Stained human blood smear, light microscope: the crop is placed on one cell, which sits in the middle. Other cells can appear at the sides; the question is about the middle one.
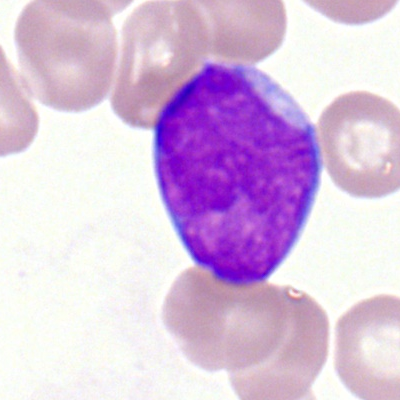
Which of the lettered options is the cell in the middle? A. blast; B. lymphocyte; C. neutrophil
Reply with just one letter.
A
